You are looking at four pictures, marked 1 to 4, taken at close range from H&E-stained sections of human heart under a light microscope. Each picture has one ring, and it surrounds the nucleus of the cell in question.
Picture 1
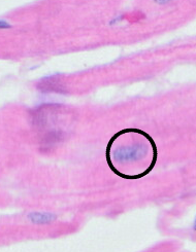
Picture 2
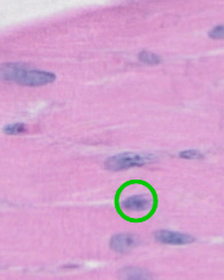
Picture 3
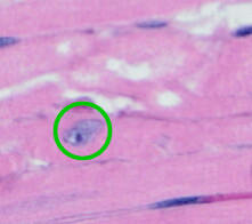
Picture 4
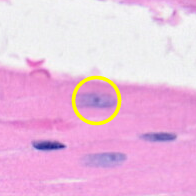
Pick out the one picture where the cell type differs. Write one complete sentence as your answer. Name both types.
The others show cardiomyocytes, but picture 2 shows a fibroblast.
